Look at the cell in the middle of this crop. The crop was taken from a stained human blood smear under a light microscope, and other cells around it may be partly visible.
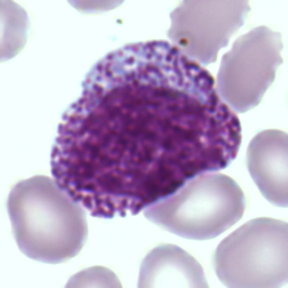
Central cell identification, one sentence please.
The centrally located cell in the crop is a myelocyte.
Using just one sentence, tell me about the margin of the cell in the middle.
The cell membrane follows an uneven contour, either ragged or bearing projections.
